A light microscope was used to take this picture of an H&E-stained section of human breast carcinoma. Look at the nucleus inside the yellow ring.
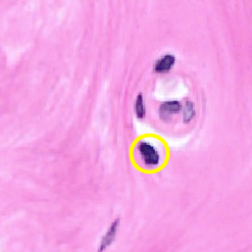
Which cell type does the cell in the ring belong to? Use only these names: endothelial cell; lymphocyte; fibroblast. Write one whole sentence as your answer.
Histopathologically, the cell in the ring is a lymphocyte.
